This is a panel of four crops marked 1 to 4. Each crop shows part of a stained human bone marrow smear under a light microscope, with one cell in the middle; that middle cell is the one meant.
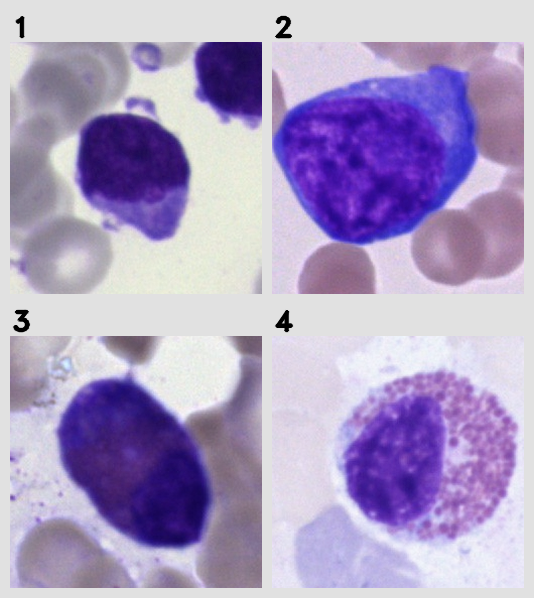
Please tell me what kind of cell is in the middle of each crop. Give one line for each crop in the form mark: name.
1: blast
2: blast
3: eosinophil
4: eosinophil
